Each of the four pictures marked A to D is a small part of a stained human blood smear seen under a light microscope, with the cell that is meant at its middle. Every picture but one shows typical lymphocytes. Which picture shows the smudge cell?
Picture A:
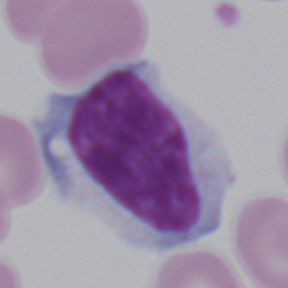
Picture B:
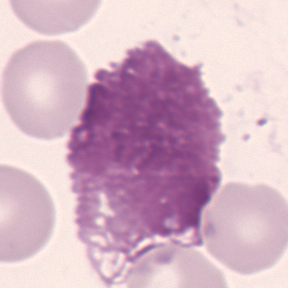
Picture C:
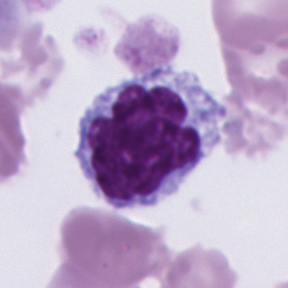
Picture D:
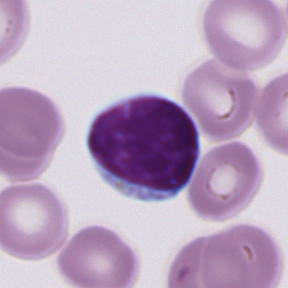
B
